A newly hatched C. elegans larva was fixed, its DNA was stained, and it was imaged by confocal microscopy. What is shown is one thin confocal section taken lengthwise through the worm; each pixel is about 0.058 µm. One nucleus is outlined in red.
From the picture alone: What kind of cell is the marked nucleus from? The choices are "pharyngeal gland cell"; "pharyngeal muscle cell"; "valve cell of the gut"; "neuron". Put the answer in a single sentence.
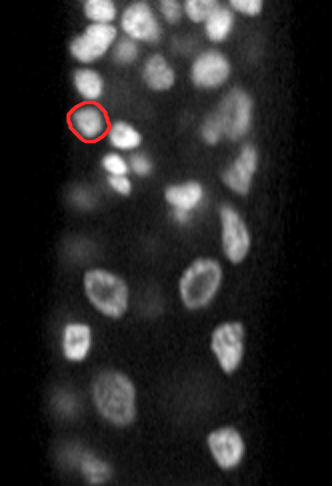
It belongs to a neuron.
